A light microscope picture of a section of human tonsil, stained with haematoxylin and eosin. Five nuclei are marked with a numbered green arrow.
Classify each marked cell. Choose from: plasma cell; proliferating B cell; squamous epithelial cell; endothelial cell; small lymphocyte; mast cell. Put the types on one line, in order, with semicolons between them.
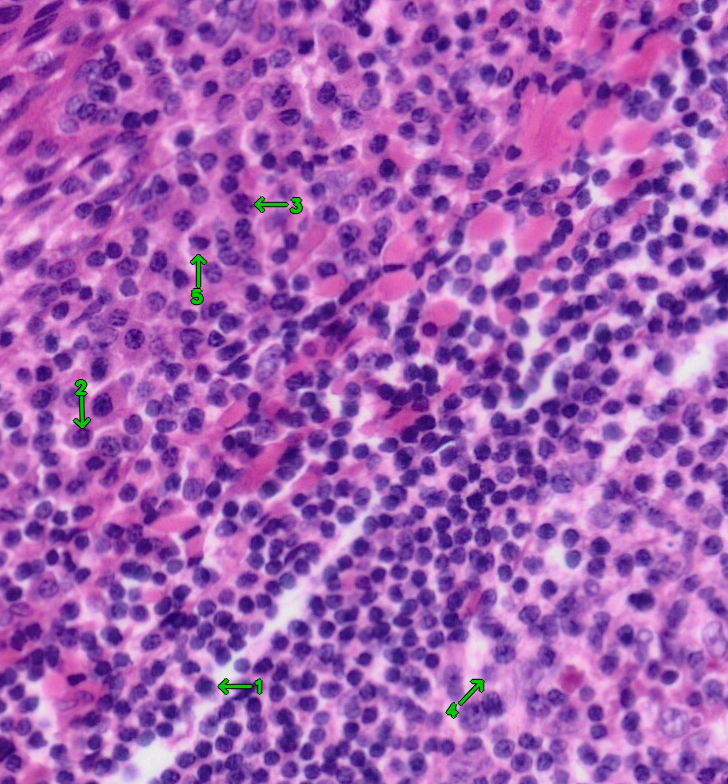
small lymphocyte; plasma cell; plasma cell; proliferating B cell; plasma cell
